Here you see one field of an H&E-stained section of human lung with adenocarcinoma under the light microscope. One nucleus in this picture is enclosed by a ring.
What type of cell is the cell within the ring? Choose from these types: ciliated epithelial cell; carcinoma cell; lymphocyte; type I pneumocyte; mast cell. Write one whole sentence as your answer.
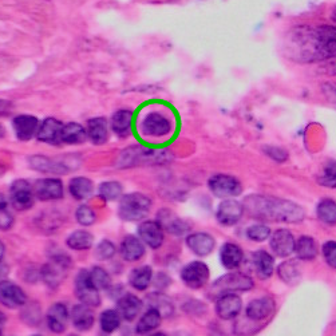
With respect to cell type, the cell within the ring is a lymphocyte.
